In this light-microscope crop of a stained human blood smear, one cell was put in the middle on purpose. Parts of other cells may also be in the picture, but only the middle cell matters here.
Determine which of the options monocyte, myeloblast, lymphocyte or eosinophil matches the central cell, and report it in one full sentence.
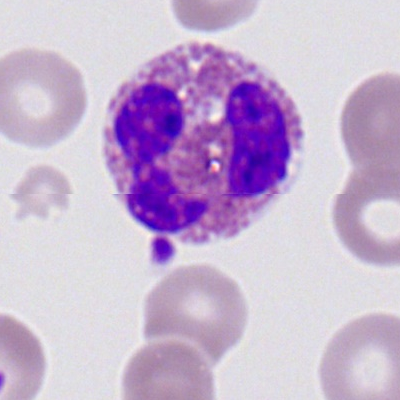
Standing at the centre of this crop is an eosinophil.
